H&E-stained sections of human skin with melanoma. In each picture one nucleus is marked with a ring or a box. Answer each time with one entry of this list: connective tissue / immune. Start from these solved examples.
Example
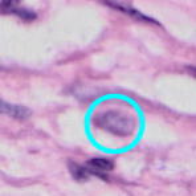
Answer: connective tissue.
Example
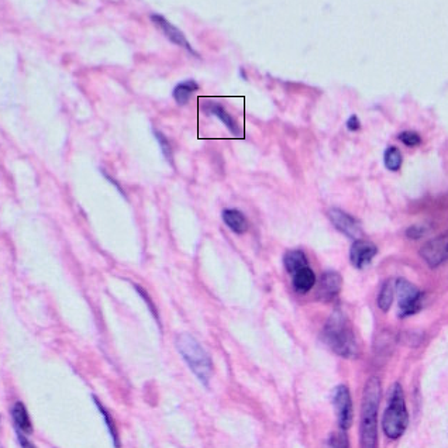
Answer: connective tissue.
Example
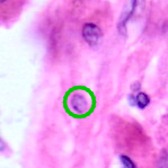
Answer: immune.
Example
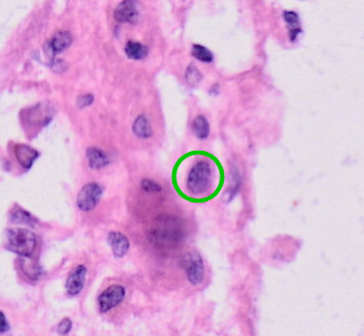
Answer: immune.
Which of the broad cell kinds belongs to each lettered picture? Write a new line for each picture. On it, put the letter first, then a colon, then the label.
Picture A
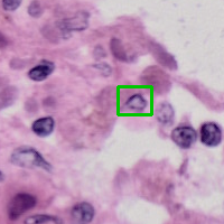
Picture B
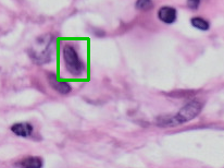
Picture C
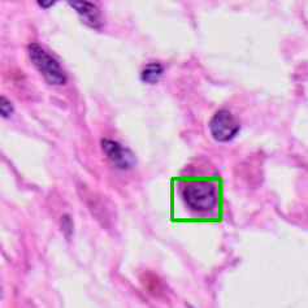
A: immune.
B: immune.
C: immune.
